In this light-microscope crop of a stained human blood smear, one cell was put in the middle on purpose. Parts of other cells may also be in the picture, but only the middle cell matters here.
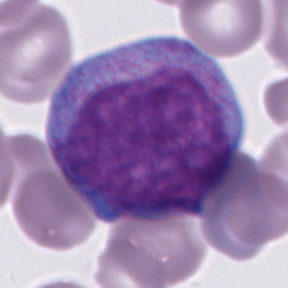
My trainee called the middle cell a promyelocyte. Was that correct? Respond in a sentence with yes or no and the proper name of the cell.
Yes, the middle cell is properly termed a promyelocyte.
